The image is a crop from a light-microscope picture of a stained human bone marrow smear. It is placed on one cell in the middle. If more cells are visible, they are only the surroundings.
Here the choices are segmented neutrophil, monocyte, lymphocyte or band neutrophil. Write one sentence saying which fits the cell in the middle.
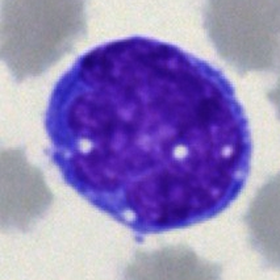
The cell around which this crop is centred is a monocyte.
